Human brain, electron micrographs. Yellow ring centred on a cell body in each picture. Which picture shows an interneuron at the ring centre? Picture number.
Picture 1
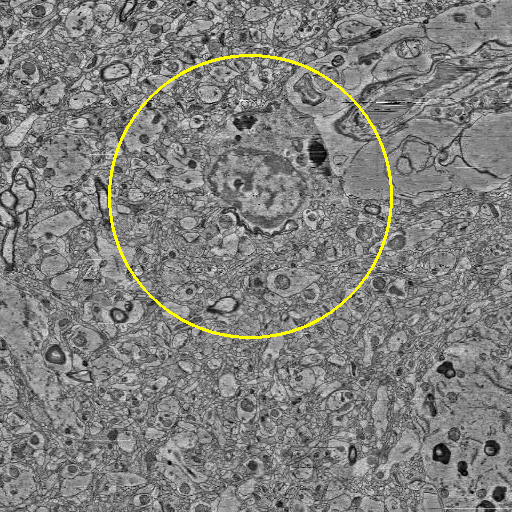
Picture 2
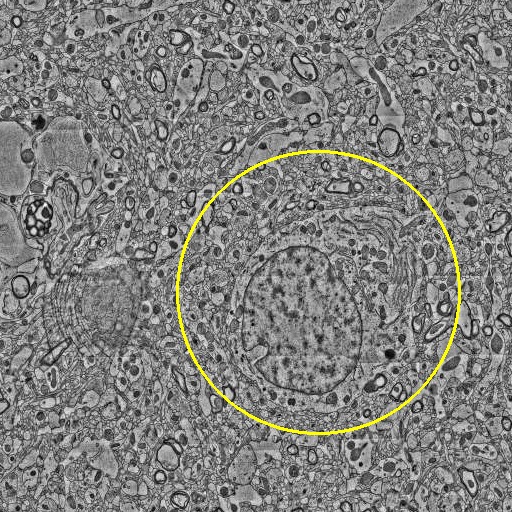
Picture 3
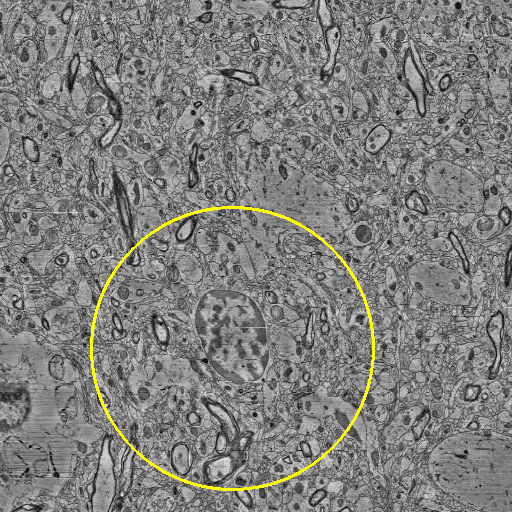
2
